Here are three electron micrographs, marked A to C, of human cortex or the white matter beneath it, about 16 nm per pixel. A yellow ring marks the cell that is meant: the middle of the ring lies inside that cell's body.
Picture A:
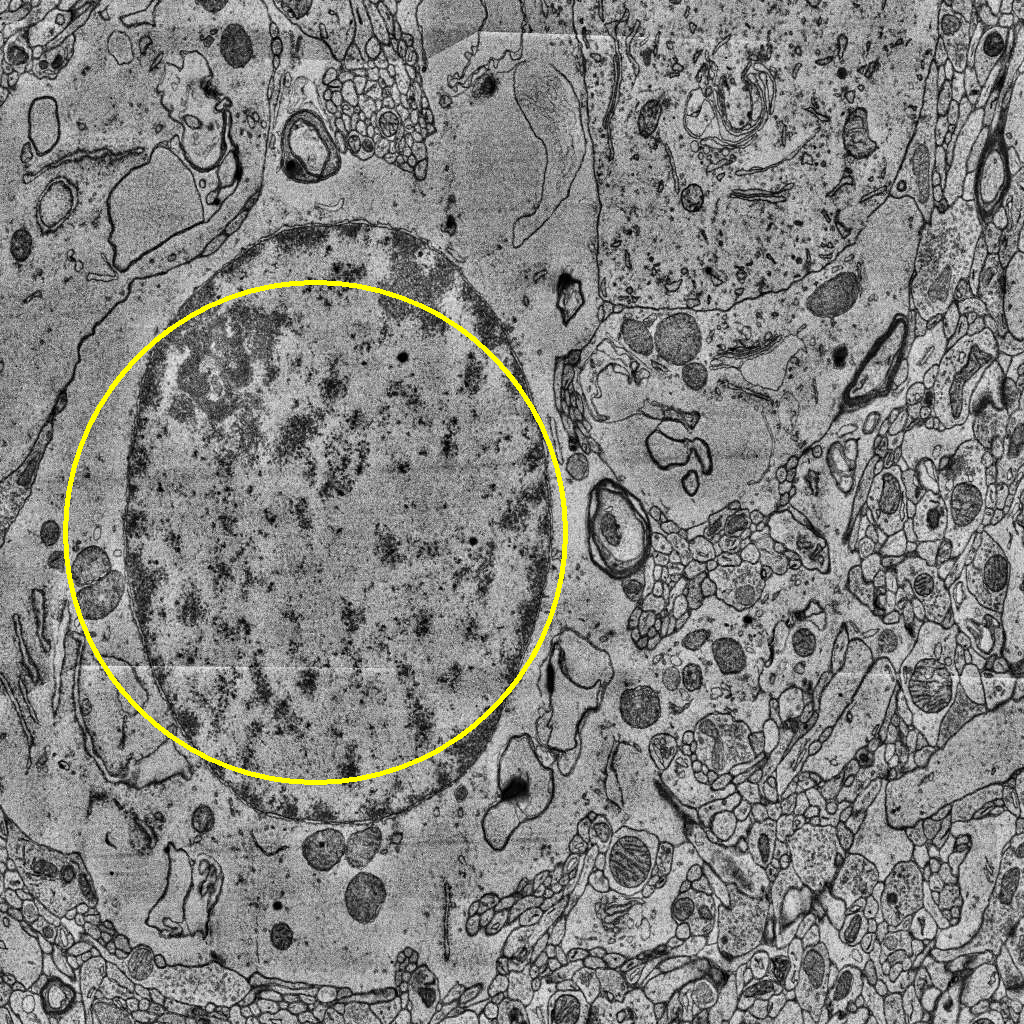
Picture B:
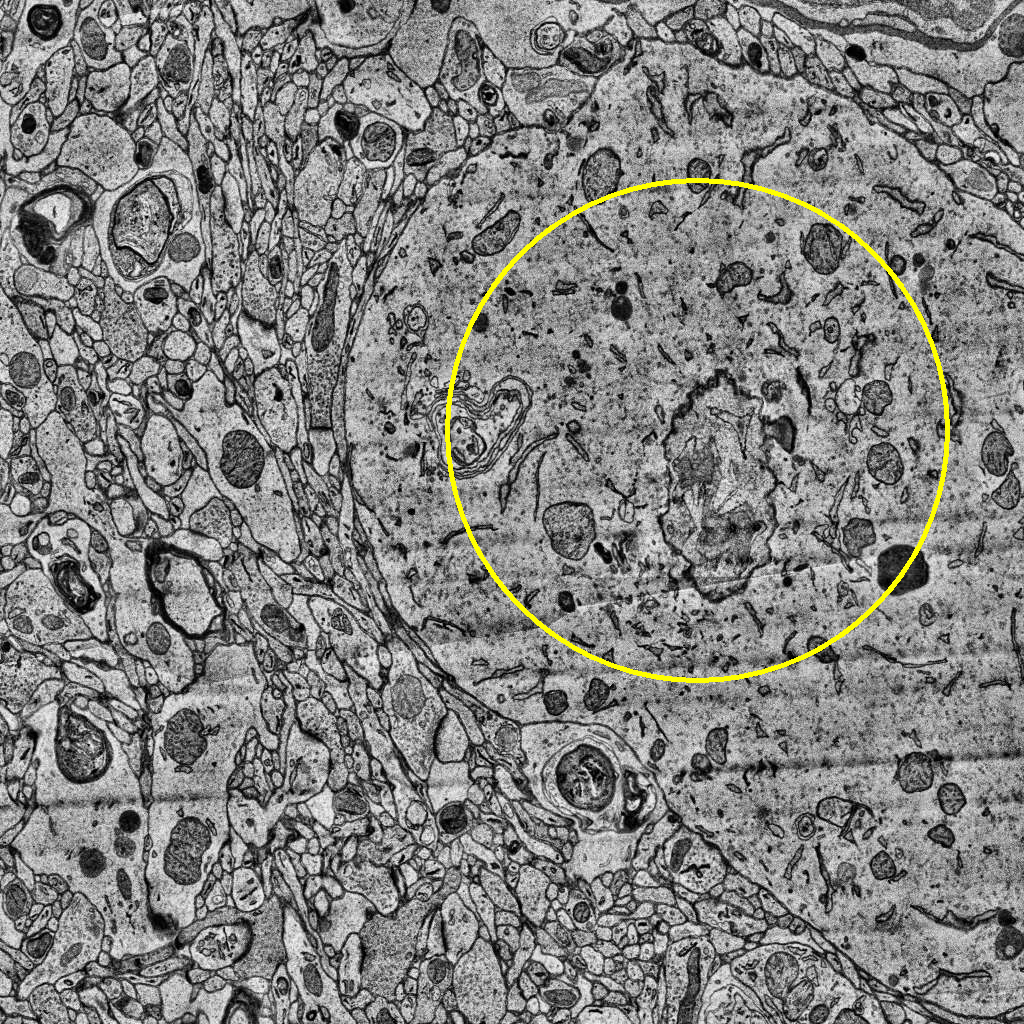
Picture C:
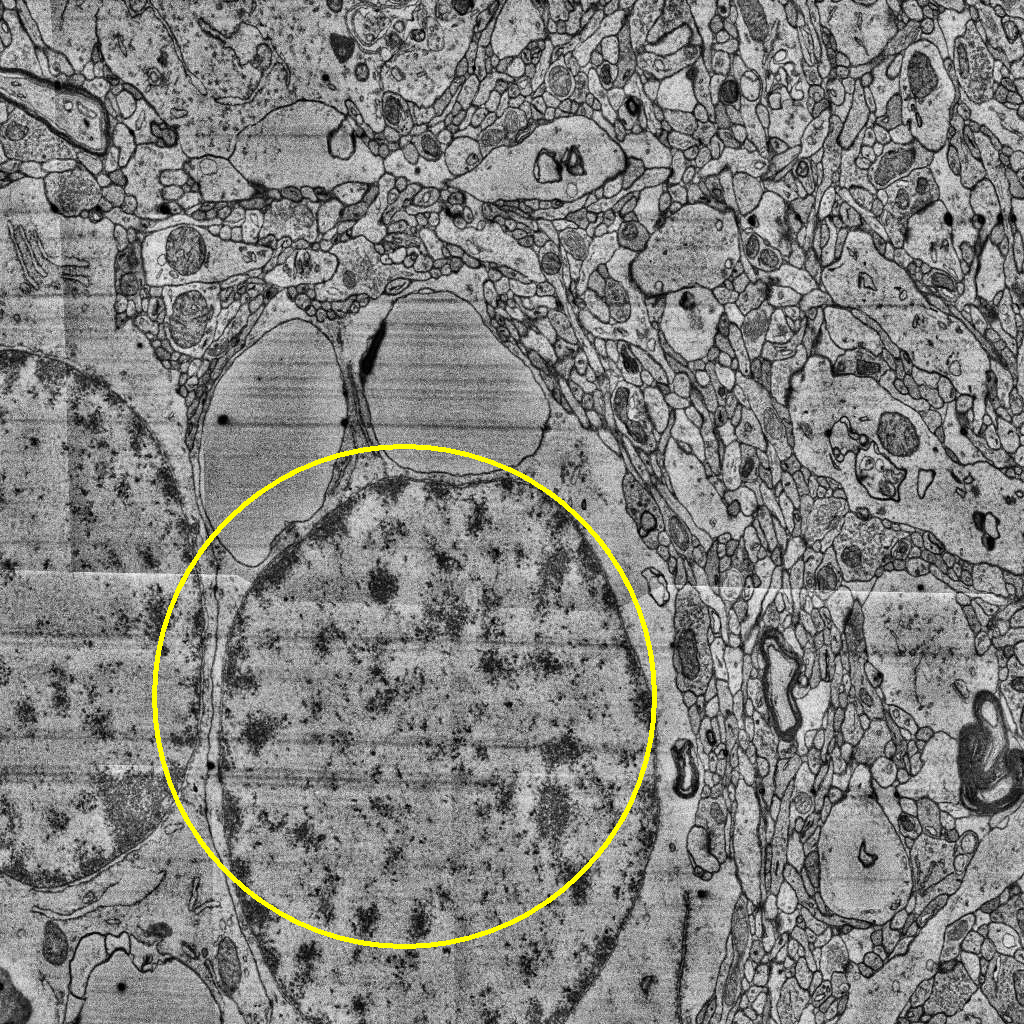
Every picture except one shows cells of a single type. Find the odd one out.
Picture B differs, because its cell is an oligodendrocyte and the rest are astrocytes.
